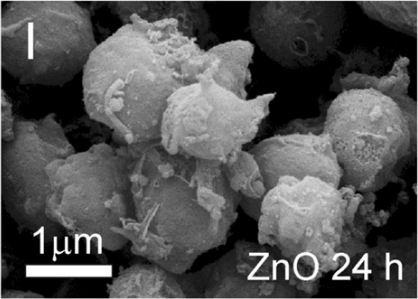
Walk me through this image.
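Platelets, all rounded into swollen globular bodies instead of flat discs. Surfaces are uneven, wrinkled in places, with short tubular protrusions lying on or projecting from the cell bodies. Cells are crowded together in a clump, touching and partly overlapping. No smooth discoid cells are seen. Scale bar shows the cells are about one to two micrometres across. Appearance fits activated platelets.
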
